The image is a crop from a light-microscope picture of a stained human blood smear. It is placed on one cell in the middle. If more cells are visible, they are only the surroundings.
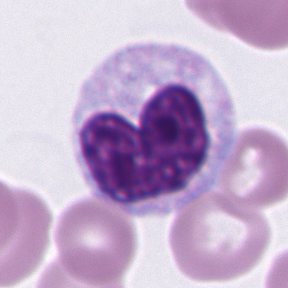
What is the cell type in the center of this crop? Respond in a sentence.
The cell featured at the centre of this crop is a band neutrophil.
